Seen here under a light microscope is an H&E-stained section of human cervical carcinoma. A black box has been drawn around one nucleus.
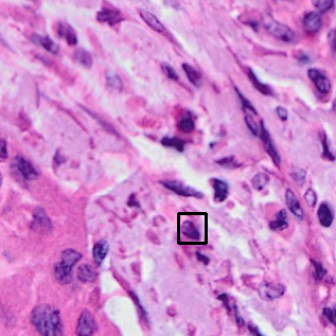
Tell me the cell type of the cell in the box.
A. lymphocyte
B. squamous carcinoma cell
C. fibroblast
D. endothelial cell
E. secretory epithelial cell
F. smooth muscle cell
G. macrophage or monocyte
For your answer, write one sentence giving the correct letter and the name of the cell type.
In this section the cell in the box is a macrophage or monocyte; option G is therefore correct.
